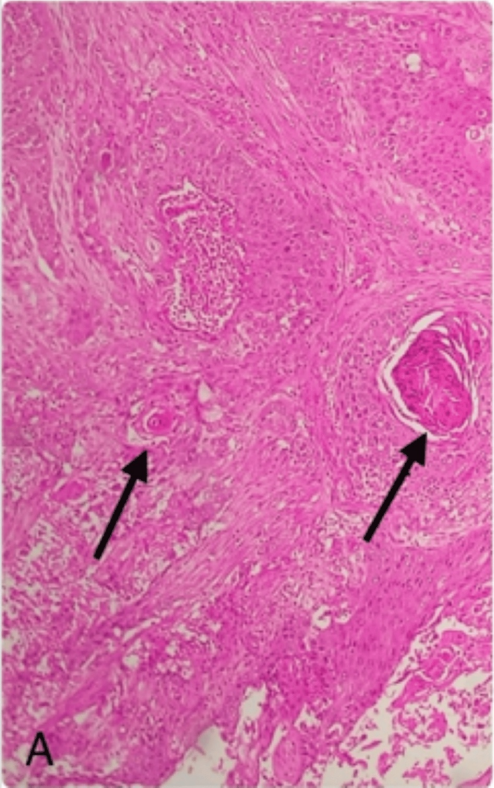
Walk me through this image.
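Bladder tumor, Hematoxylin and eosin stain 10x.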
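At low power this tumour is made of nests and sheets of squamous cells with pink cytoplasm, set in a streaming, fibrous pink stroma. Within the nests lie rounded, concentrically layered bright pink keratin pearls, one large on the right and a smaller one lower left. The larger pearl is partly separated from the surrounding cells by a clear cleft. A further rounded nest in the upper centre contains loosely arranged cells and debris. The tumour nests infiltrate irregularly between the bands of stroma.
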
